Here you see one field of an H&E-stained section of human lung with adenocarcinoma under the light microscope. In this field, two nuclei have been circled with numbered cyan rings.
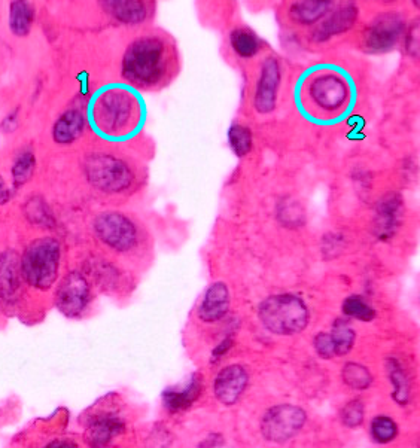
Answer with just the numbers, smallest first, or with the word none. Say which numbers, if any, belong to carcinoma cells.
1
